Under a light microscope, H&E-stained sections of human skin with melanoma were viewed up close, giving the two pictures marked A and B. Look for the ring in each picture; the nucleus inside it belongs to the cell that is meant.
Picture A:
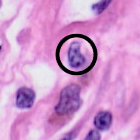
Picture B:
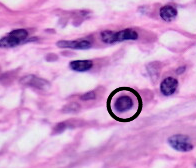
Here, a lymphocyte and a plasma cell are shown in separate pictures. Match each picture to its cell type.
A: lymphocyte
B: plasma cell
